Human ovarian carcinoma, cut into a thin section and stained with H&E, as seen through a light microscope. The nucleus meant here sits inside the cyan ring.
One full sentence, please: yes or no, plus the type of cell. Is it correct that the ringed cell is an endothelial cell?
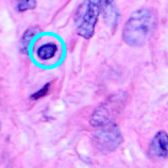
No, sorry, but the ringed cell is a lymphocyte and not an endothelial cell.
